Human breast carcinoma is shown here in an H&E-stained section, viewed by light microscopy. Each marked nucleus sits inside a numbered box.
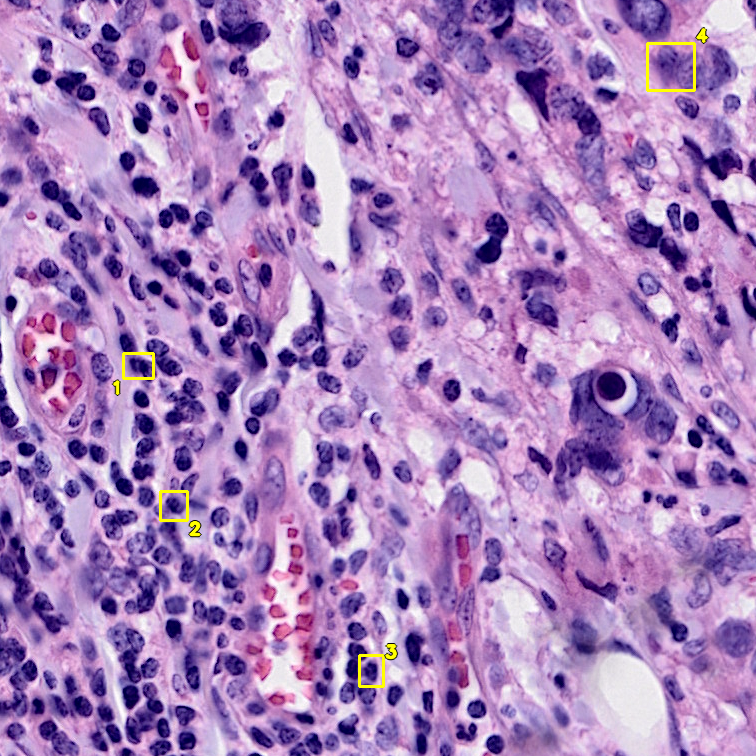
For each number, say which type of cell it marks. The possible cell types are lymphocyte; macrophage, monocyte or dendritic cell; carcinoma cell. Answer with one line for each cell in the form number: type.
1: lymphocyte
2: lymphocyte
3: lymphocyte
4: carcinoma cell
